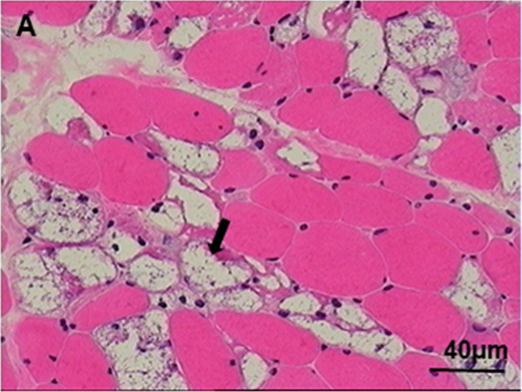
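This is skeletal muscle in cross-section, showing muscle fibers, many of which are vacuolated. The fibers are polygonal to oval and packed closely, separated by thin pale connective tissue. Intact fibers have uniform bright pink cytoplasm with small dark nuclei lying at their edges. A large share of the fibers, however, have lost their solid pink cytoplasm and appear pale and cleared, filled with vacuoles that contain fine scattered purple granules and wisps of residual material. These vacuolated fibers lie intermixed with normal-looking pink fibers, sometimes in groups, so the section shows a patchy pattern of pink and pale fibers.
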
